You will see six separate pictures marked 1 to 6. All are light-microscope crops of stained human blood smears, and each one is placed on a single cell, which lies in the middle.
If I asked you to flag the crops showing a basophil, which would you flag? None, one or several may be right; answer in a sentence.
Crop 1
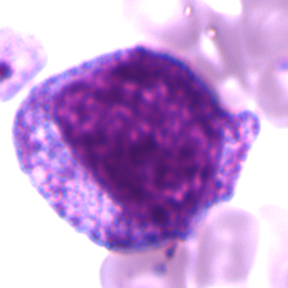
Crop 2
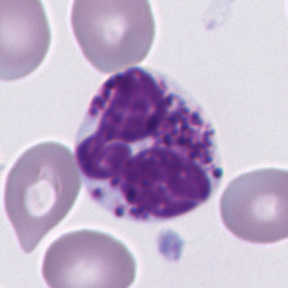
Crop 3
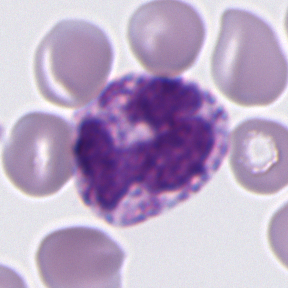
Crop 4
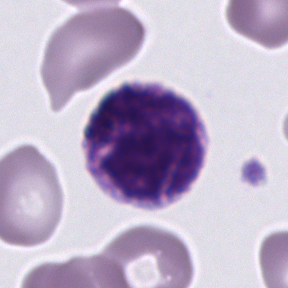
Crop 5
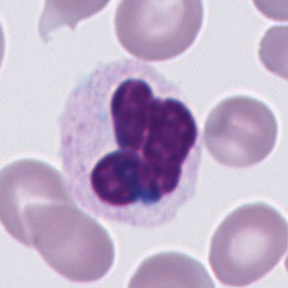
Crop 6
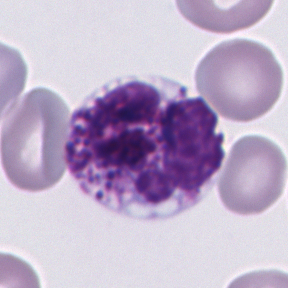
In this series, basophils are shown by crops 2, 3, 4 and 6.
